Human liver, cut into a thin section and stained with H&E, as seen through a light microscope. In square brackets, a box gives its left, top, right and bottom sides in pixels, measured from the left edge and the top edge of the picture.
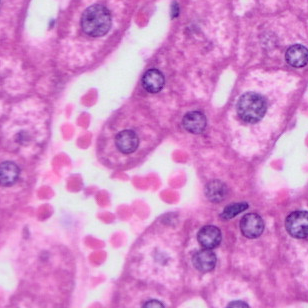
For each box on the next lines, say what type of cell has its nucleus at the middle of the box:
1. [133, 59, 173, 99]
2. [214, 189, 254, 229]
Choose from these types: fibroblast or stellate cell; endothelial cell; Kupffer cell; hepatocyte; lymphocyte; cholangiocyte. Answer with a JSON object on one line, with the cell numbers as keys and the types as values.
{"1": "hepatocyte", "2": "fibroblast or stellate cell"}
